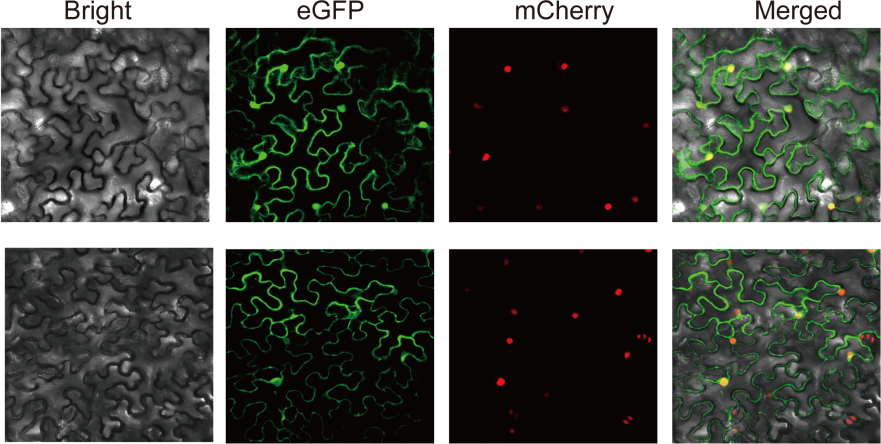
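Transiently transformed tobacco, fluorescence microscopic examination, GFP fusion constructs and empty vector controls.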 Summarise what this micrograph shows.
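The cells have wavy, lobed outlines that interlock like jigsaw pieces. Green fluorescence runs along the cell margins and outlines each cell. Small round red dots lie scattered among the cells, and where they coincide with green they appear yellow in the overlay.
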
